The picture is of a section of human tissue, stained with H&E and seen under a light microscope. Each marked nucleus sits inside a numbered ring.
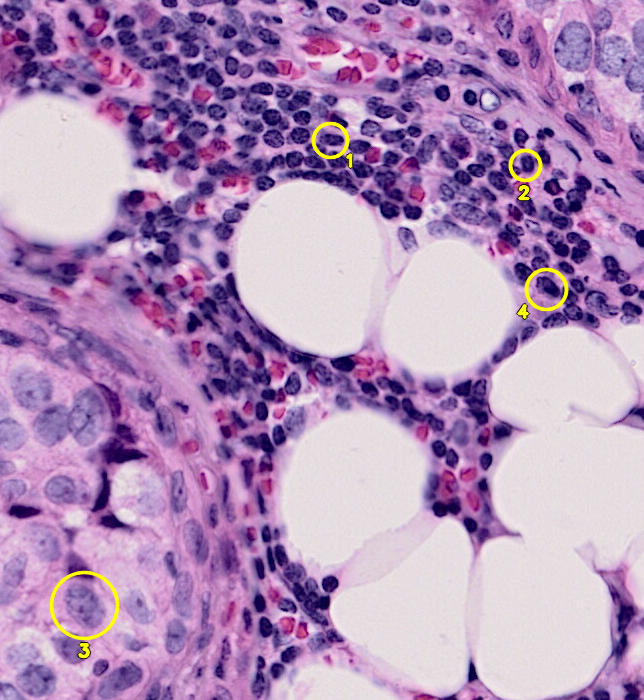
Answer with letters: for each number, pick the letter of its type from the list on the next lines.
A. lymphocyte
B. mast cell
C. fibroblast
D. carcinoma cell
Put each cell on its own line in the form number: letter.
1: A
2: A
3: D
4: A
